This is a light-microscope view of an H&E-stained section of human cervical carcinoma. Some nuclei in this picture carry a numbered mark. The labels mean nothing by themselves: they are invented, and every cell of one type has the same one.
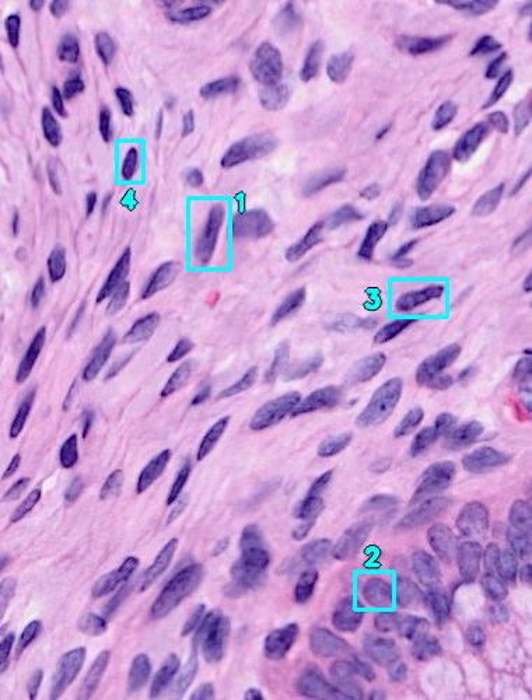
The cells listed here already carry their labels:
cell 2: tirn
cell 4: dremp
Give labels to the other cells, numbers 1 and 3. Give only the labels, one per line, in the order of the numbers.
dremp
dremp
